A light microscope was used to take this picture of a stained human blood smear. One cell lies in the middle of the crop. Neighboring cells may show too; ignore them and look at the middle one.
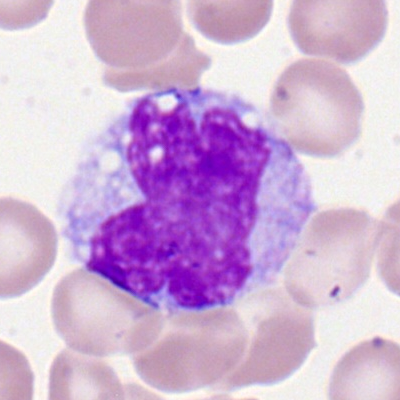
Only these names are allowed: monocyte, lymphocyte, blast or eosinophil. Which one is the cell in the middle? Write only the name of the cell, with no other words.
monocyte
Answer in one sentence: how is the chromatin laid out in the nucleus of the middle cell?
In this cell the chromatin is fine rather than coarsely clumped.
